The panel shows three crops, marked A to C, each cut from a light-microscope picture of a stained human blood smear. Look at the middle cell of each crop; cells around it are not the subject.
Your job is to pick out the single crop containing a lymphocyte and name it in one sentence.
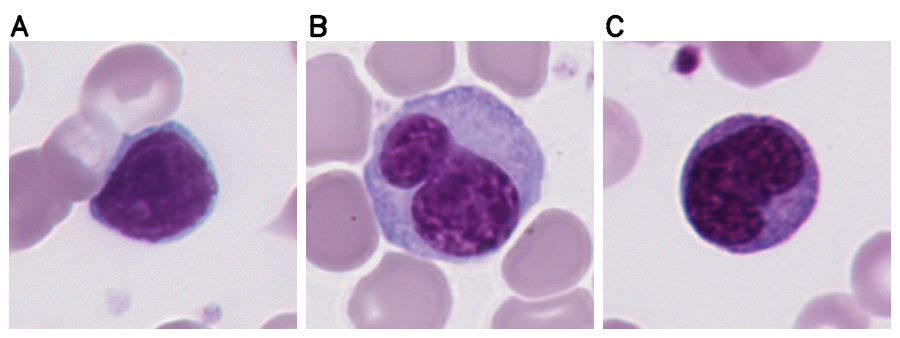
Of the crops shown, crop A depicts a lymphocyte.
